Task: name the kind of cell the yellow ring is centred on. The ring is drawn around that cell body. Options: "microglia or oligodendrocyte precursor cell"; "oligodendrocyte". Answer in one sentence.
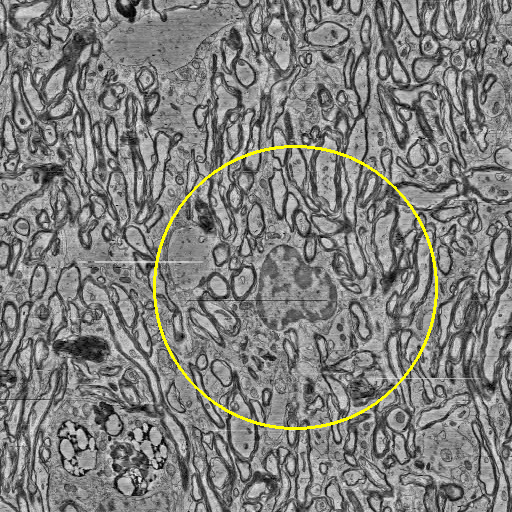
This cell body belongs to a microglial cell or oligodendrocyte precursor cell.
